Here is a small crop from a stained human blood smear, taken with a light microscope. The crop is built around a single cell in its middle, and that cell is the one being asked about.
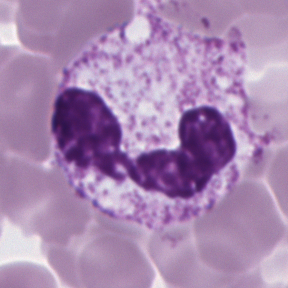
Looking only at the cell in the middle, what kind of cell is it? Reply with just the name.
segmented neutrophil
